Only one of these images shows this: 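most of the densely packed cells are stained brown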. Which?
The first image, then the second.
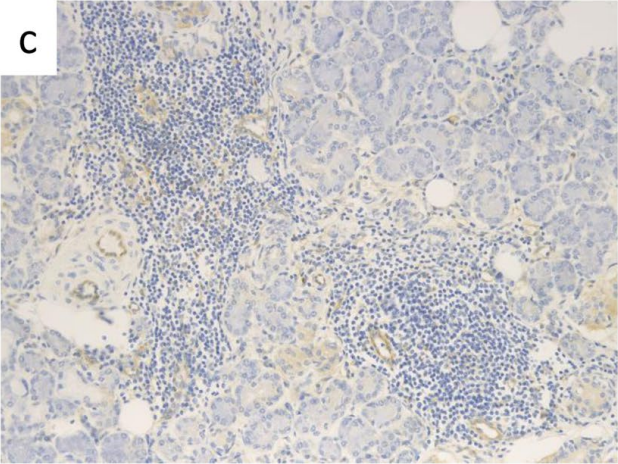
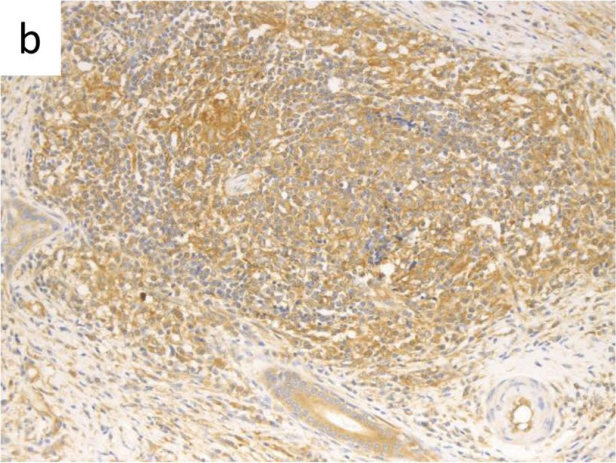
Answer: The second image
